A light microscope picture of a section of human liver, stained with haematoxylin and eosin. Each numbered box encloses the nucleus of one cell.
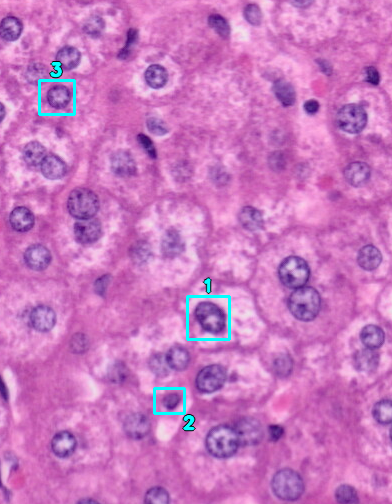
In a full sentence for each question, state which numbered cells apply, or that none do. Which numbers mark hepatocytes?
In this section, the cells labelled 1 and 3 are hepatocytes.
